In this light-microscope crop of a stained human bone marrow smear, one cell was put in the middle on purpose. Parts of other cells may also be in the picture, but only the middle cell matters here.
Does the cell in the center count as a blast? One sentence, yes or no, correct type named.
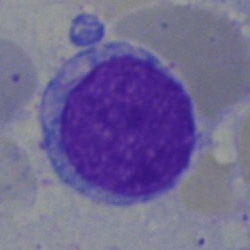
Yes, that middle cell in the crop is a blast.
